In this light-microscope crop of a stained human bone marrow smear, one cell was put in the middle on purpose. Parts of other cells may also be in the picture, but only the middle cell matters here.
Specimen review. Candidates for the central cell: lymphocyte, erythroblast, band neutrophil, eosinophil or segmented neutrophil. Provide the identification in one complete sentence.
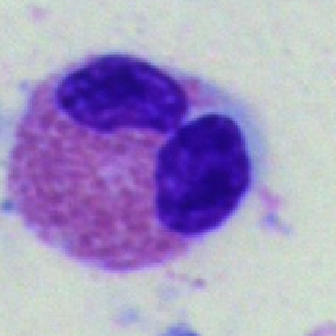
The center cell of this crop is an eosinophil.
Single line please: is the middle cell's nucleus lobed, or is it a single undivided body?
The nucleus has been partitioned into two or more lobes.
